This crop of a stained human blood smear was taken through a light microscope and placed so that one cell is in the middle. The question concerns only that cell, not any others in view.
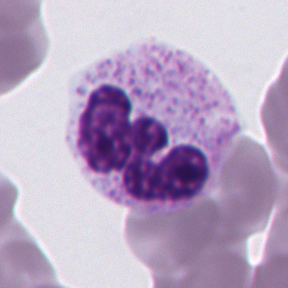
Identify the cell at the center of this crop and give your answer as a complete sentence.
The cell that lies at the centre of the crop is a neutrophil.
